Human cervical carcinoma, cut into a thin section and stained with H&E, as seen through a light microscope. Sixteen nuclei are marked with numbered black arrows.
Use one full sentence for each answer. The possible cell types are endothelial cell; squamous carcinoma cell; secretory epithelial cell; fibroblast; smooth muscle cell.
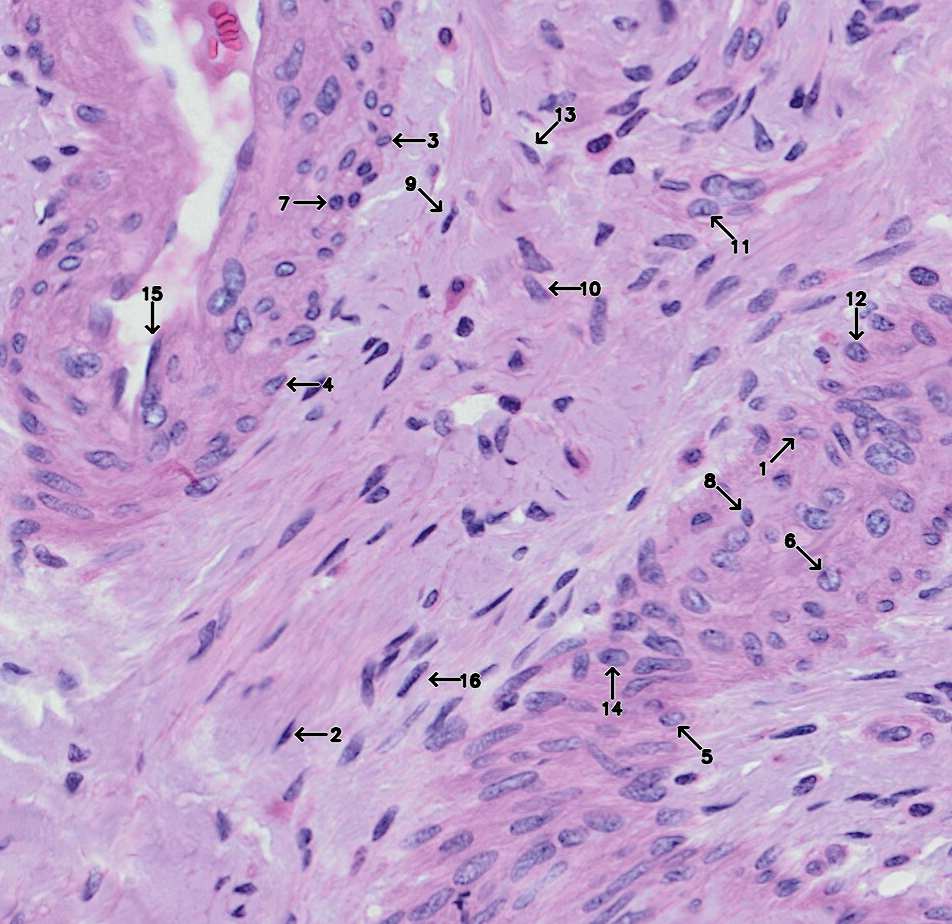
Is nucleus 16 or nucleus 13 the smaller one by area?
It is nucleus 13; nucleus 16 has about 2 times its area.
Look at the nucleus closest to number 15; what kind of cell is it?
The cell nearest to number 15 is a smooth muscle cell.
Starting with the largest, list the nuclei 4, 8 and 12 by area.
Going from the biggest nucleus down to the smallest gives 12, 4, 8.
